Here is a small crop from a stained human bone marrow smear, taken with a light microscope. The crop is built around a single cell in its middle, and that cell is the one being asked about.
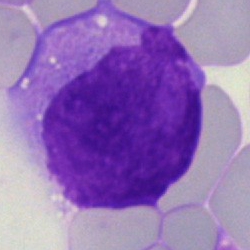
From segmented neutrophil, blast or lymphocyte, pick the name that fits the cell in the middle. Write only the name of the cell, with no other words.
blast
